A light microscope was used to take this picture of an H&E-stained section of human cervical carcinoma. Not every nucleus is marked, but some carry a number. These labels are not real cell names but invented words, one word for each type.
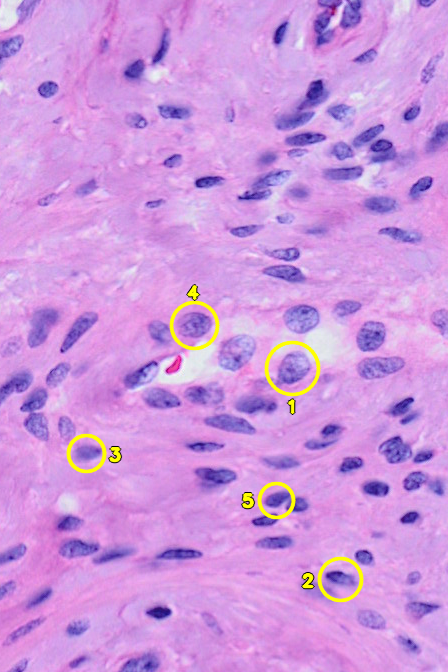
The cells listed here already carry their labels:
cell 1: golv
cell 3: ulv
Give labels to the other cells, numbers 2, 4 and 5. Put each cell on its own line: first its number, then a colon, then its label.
2: ulv
4: golv
5: ulv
